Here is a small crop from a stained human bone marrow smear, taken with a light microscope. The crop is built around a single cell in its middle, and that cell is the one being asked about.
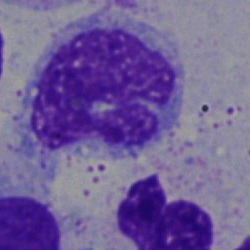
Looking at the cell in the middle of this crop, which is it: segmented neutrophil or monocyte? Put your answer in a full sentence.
Standing at the centre of this crop is a monocyte.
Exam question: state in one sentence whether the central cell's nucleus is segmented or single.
A single compact nucleus is present, shaped round, oval or like a kidney.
